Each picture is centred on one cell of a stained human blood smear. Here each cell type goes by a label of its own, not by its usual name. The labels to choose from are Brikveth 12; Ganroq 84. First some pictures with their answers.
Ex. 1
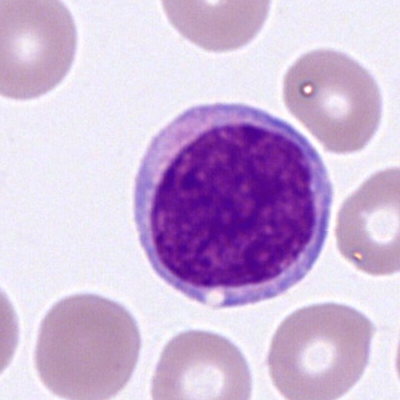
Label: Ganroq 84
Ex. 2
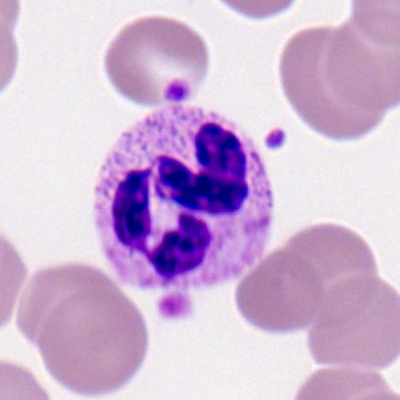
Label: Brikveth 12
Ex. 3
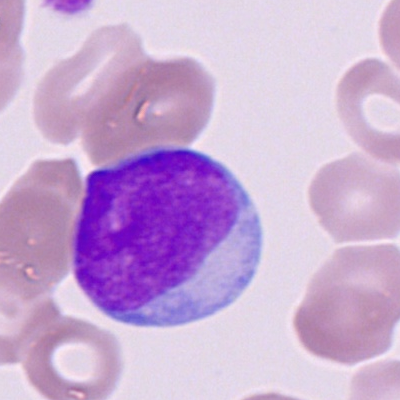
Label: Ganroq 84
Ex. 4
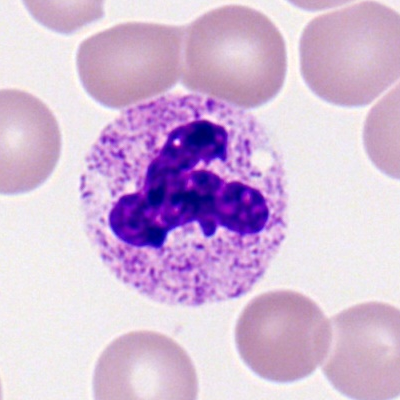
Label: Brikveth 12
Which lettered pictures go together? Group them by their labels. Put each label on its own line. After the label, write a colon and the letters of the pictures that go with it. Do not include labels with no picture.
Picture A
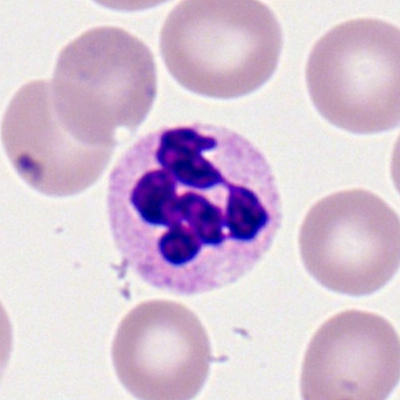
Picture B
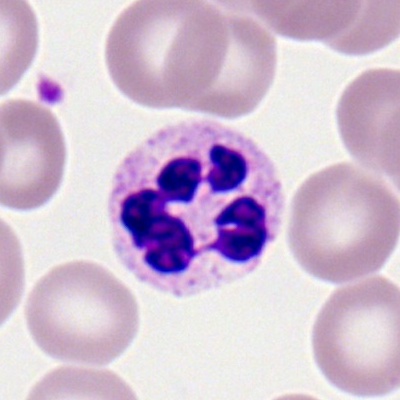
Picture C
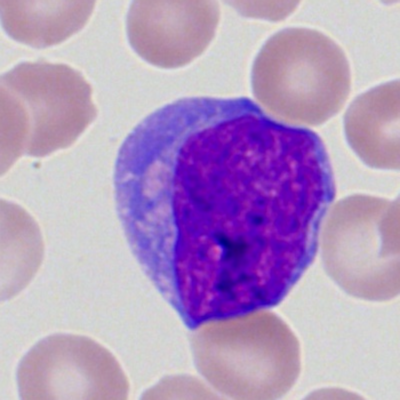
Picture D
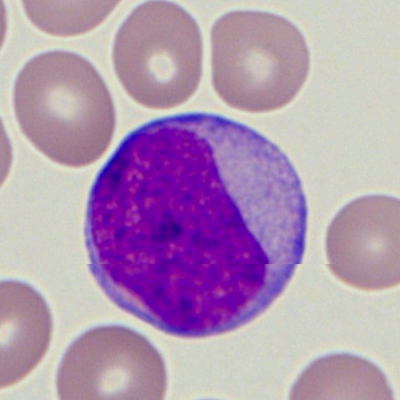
Brikveth 12: A, B
Ganroq 84: C, D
